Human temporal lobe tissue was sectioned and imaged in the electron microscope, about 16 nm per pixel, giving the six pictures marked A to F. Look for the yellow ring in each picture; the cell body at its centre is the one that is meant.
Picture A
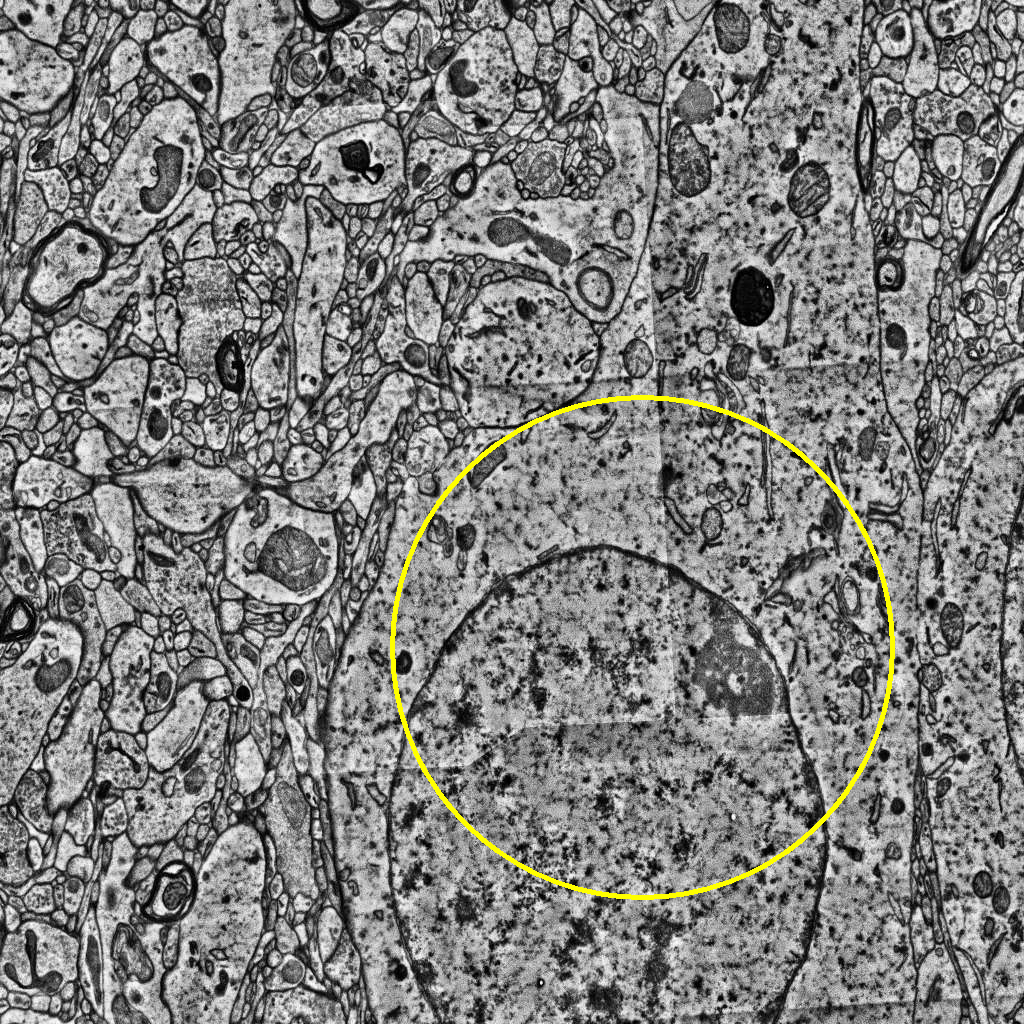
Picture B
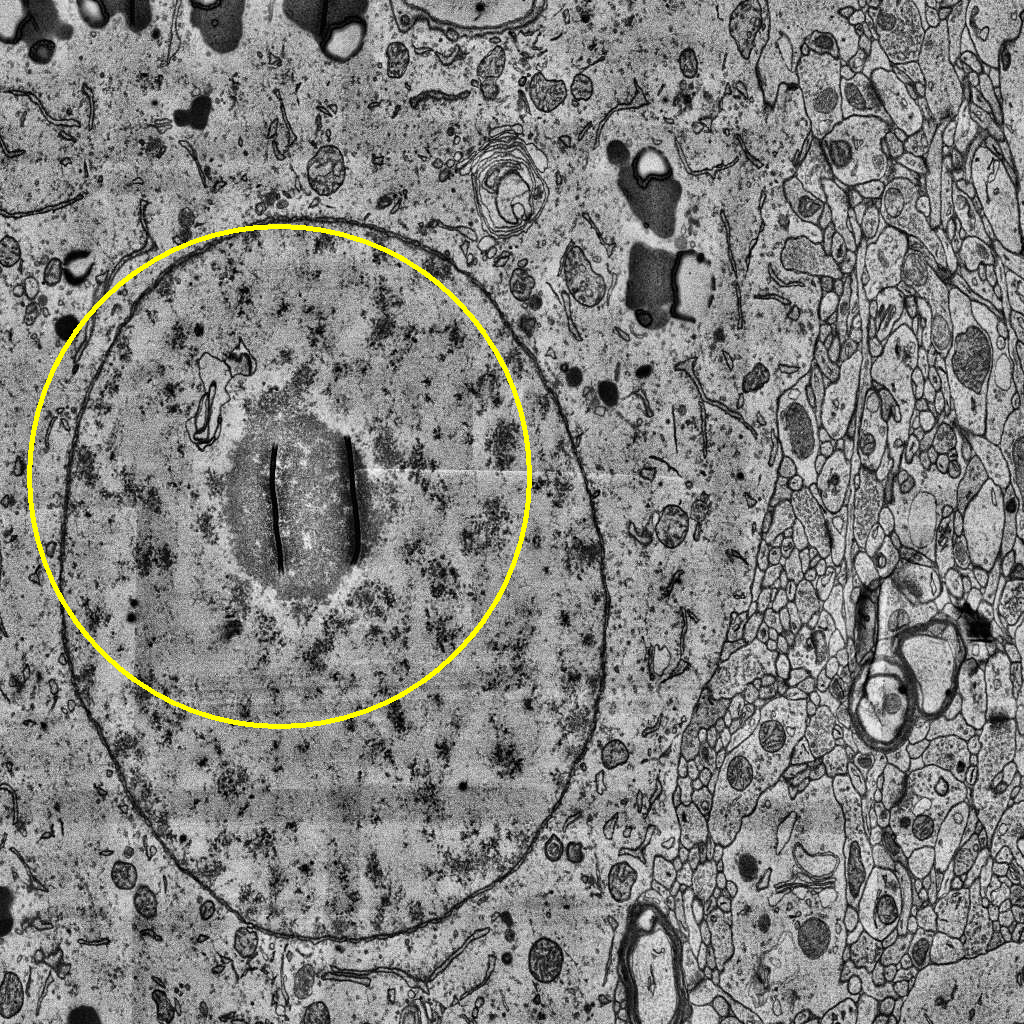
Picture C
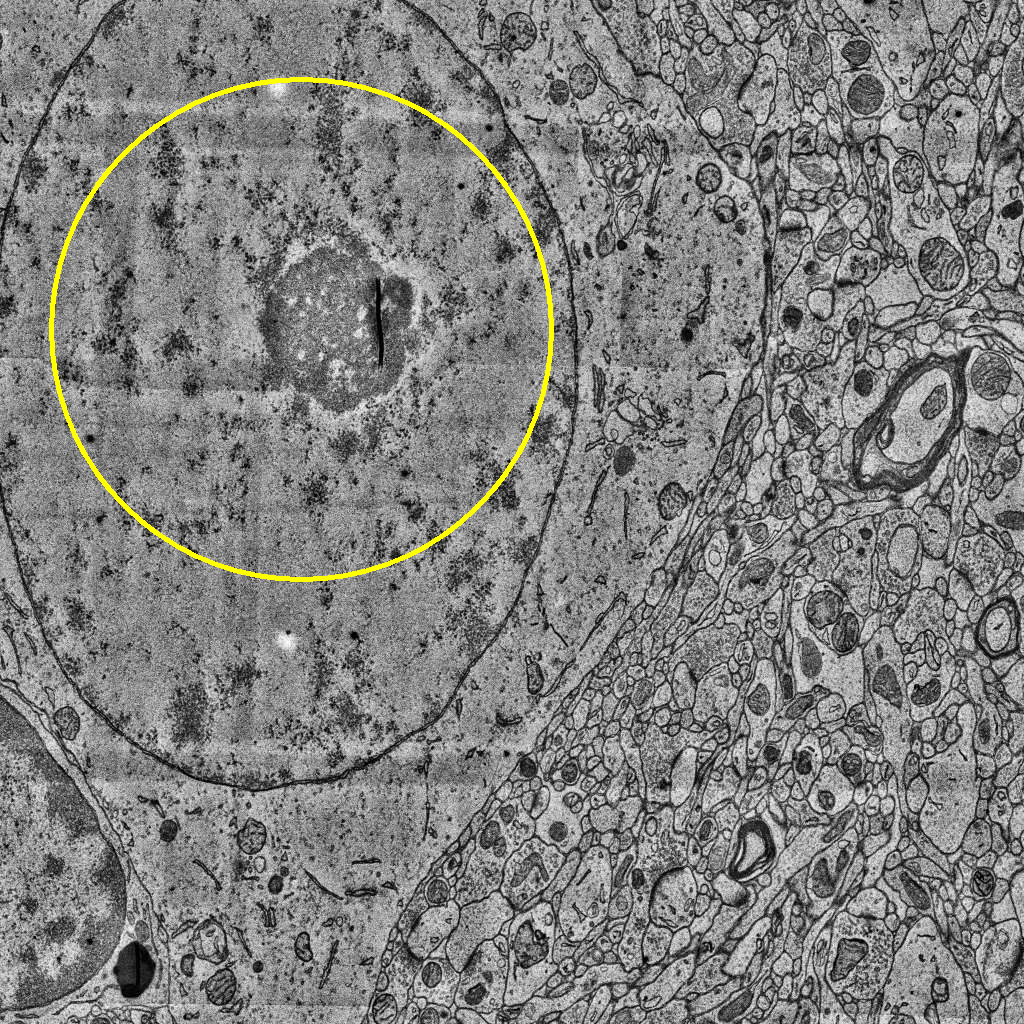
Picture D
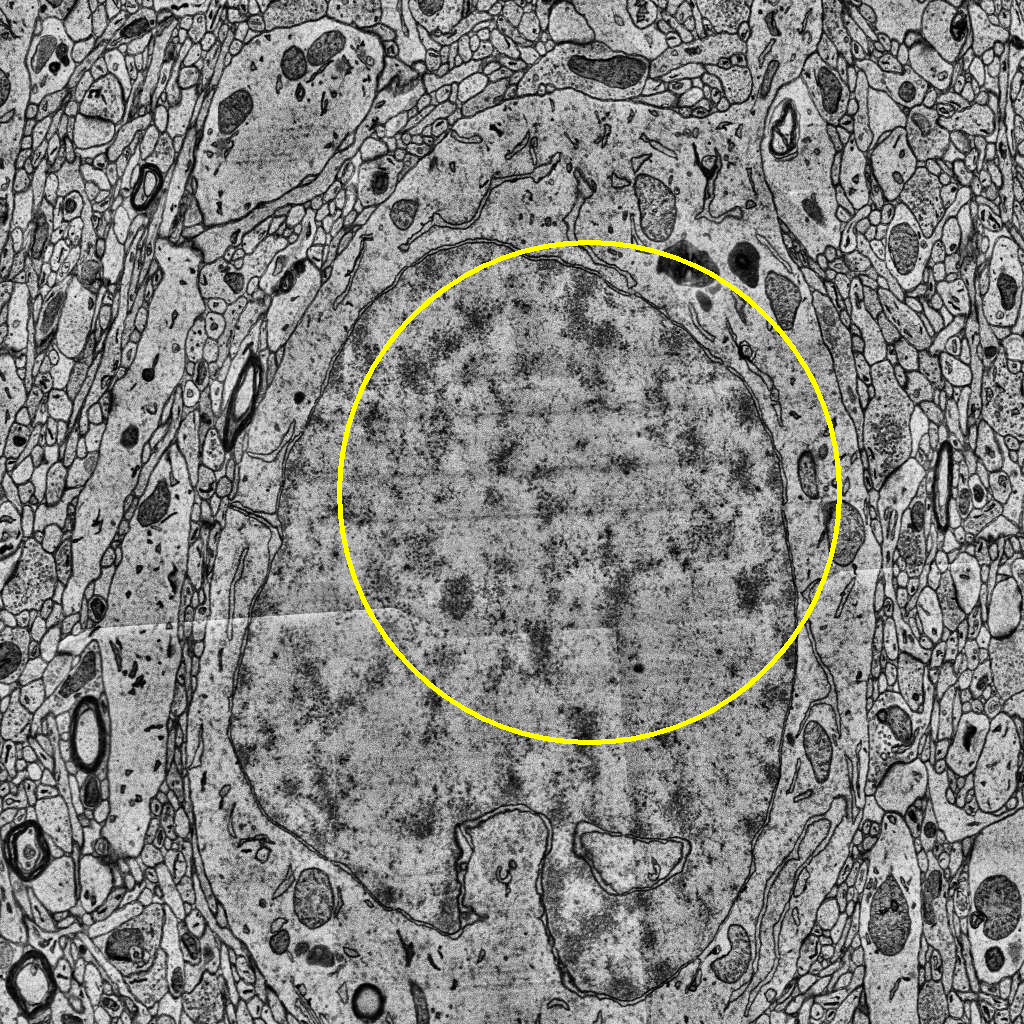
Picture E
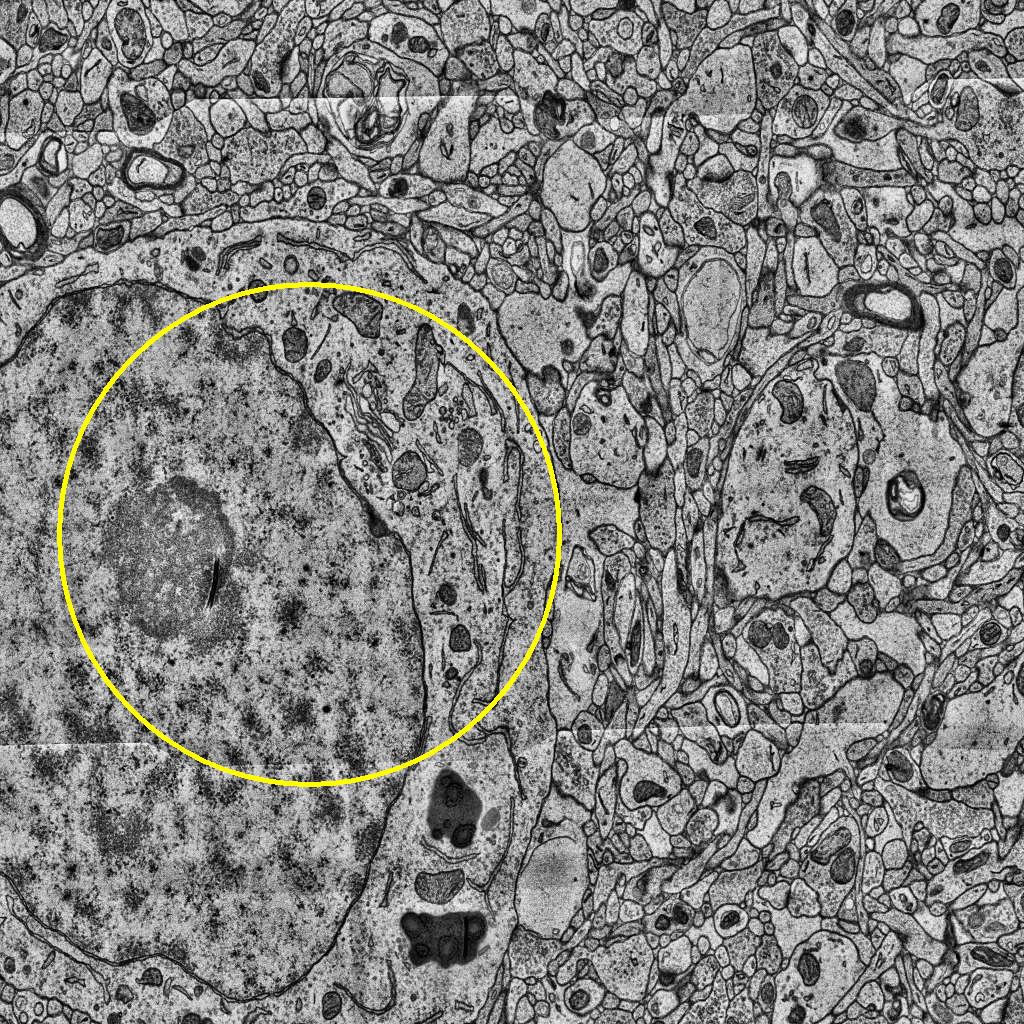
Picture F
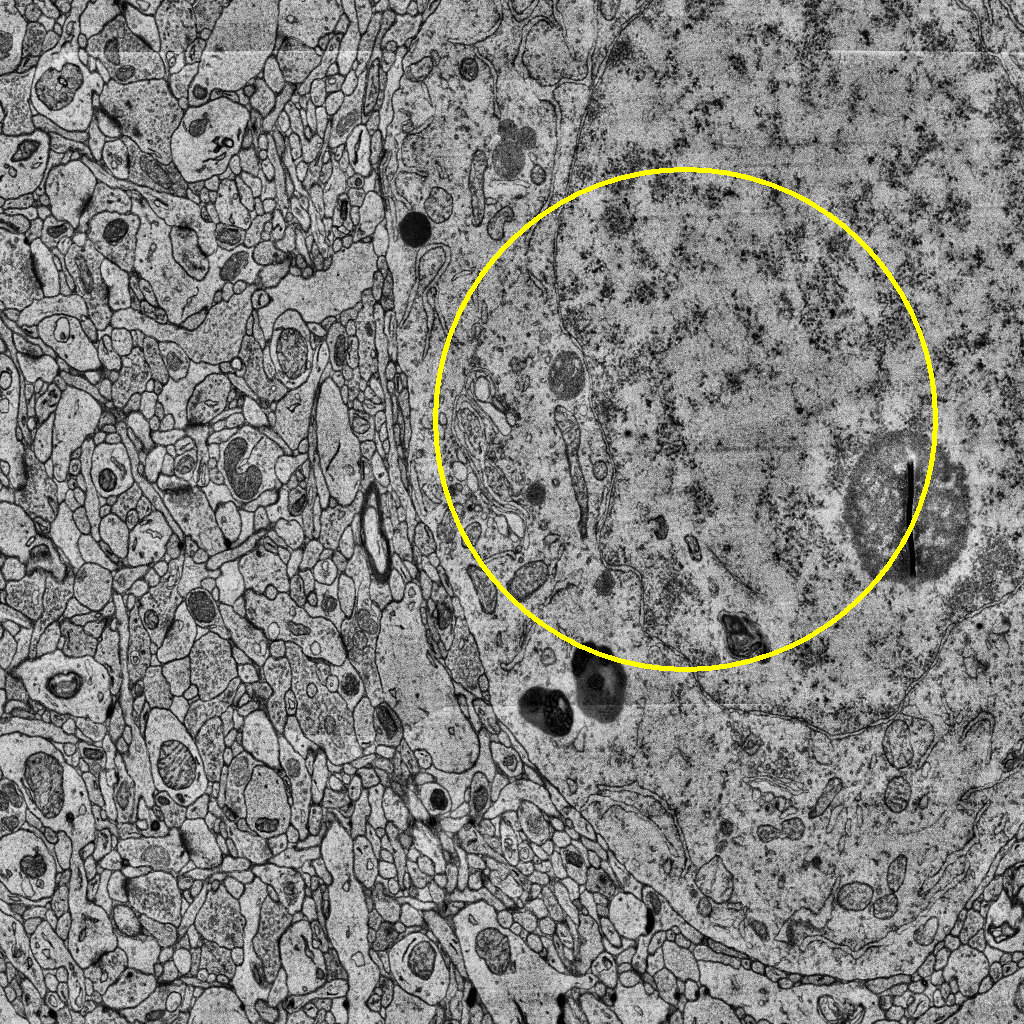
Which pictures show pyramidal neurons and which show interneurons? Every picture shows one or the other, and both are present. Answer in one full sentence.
Pictures A, B and C show pyramidal neurons, and pictures D, E and F show interneurons.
